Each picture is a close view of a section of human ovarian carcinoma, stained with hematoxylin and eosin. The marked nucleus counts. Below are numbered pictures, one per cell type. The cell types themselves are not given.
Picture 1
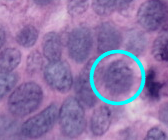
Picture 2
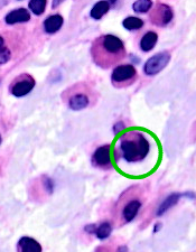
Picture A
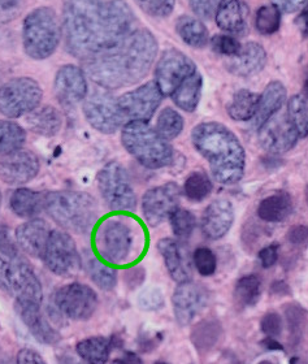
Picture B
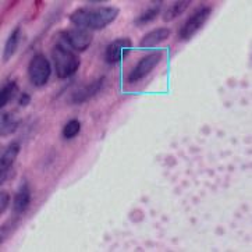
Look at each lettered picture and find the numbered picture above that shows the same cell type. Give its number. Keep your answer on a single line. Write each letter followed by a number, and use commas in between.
A 1, B 1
